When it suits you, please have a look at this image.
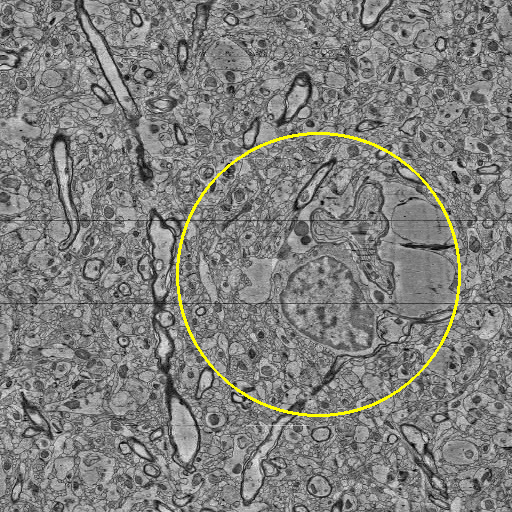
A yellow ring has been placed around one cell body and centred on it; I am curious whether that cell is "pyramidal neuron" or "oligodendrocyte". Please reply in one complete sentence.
The ringed cell, an oligodendrocyte, has its body at the centre of the yellow ring.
